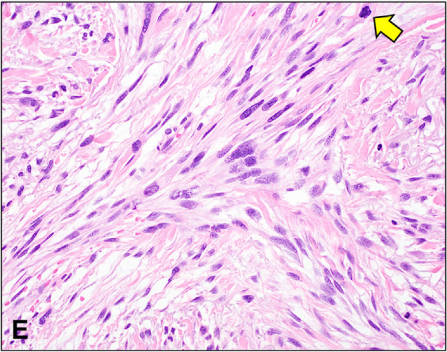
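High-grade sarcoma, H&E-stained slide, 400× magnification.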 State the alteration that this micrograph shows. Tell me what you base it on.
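Nuclear hyperchromasia and coarse chromatin. Elongated nuclei stain dark purple. Nuclei vary in size and shape, some enlarged. Chromatin looks clumped rather than fine.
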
